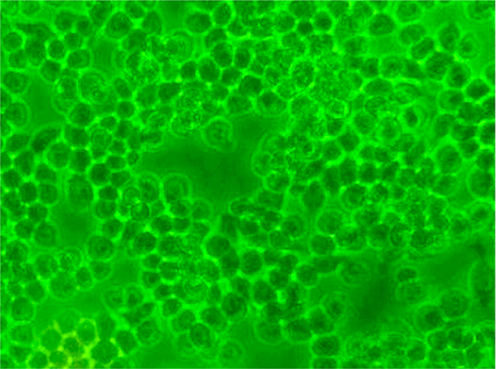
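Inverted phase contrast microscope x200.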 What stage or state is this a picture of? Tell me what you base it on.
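Round and mononuclear. Densely packed small round cells of similar size.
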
